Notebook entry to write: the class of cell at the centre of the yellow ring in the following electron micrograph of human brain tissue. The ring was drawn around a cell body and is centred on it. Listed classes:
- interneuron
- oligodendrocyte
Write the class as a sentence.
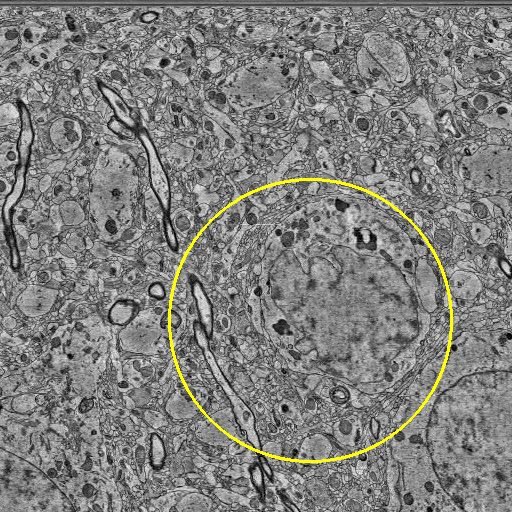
The yellow ring sits on an interneuron.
